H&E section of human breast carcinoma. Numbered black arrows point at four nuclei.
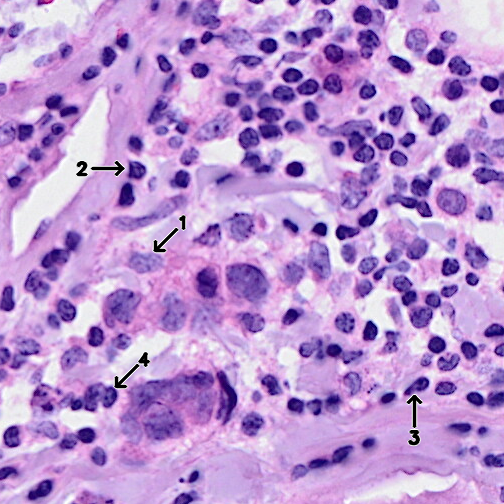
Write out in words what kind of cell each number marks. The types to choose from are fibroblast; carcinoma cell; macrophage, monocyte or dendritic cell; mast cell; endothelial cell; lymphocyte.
Cell 1 is a macrophage, monocyte or dendritic cell. Cells 2, 3 and 4 are lymphocytes.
